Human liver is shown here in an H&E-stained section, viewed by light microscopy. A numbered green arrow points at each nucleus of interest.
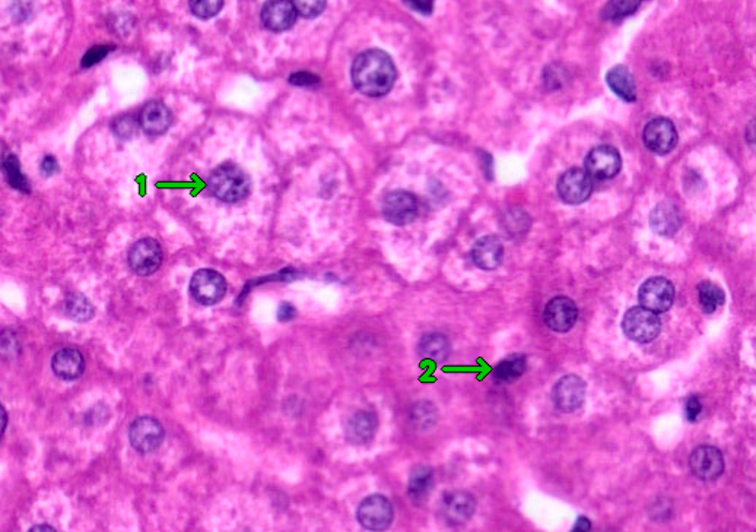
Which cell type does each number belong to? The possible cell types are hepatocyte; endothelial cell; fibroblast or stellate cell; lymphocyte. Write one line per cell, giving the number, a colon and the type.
1: hepatocyte
2: fibroblast or stellate cell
